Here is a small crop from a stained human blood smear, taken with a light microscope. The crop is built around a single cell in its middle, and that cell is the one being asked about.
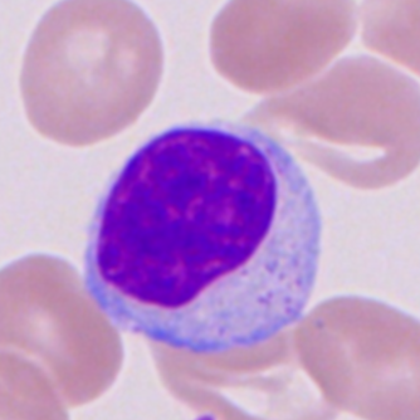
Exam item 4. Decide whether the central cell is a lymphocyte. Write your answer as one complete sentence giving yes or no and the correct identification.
Yes, the cell shown centrally is a lymphocyte.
